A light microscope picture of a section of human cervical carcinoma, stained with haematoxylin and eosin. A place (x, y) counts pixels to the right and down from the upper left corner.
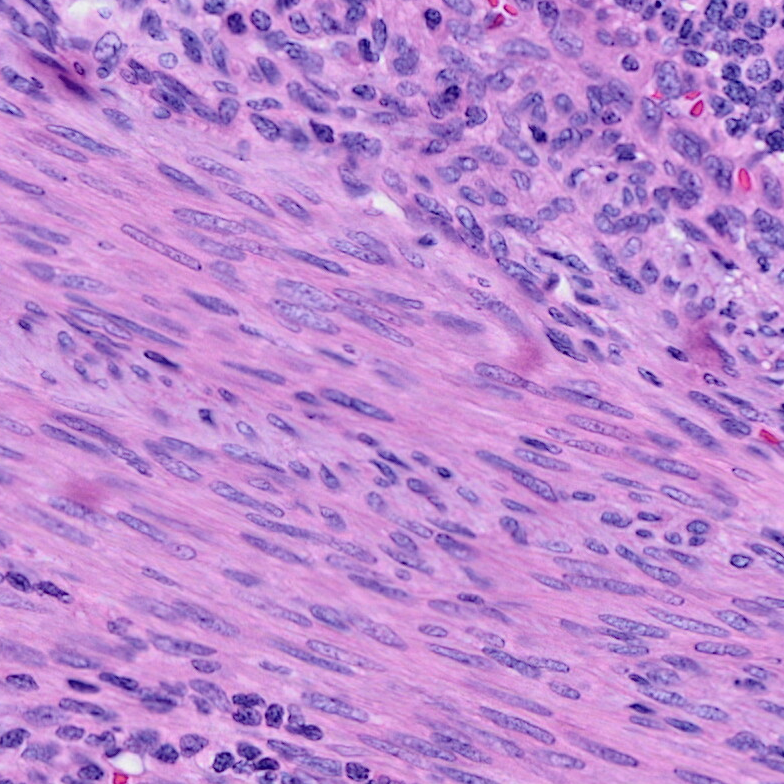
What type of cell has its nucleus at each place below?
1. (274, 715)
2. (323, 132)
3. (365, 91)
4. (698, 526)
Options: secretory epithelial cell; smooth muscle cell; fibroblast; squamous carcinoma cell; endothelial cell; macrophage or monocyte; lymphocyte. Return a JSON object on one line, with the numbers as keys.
{"1": "lymphocyte", "2": "lymphocyte", "3": "lymphocyte", "4": "smooth muscle cell"}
